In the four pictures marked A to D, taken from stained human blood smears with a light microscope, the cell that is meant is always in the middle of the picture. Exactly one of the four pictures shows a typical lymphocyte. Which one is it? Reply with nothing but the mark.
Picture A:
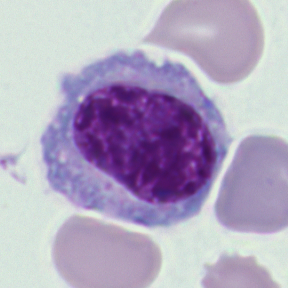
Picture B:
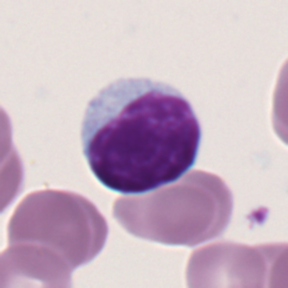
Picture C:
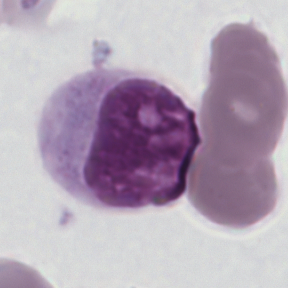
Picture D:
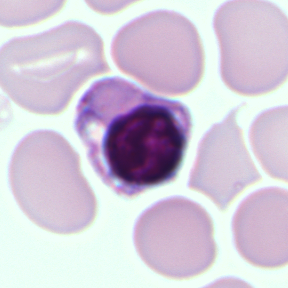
B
